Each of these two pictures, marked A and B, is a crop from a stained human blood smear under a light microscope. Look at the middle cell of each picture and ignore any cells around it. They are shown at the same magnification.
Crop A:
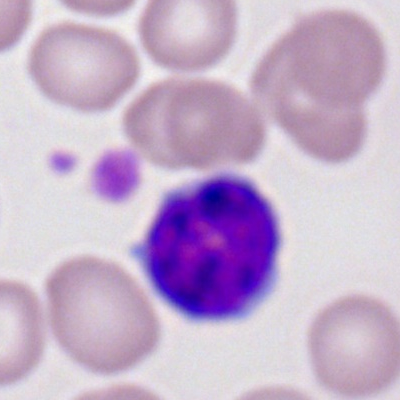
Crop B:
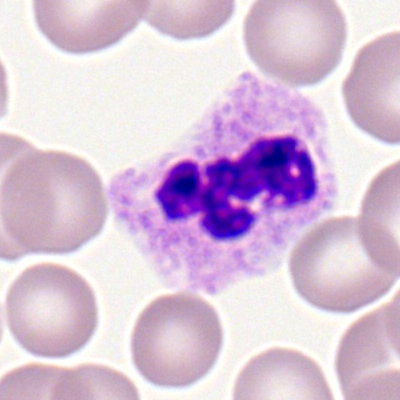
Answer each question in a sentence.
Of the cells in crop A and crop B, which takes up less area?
The cell in crop A is smaller; the one in crop B has about 2 times its area.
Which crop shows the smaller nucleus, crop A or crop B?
The nucleus in crop B is smaller; the one in crop A has about 1.5 times its area.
